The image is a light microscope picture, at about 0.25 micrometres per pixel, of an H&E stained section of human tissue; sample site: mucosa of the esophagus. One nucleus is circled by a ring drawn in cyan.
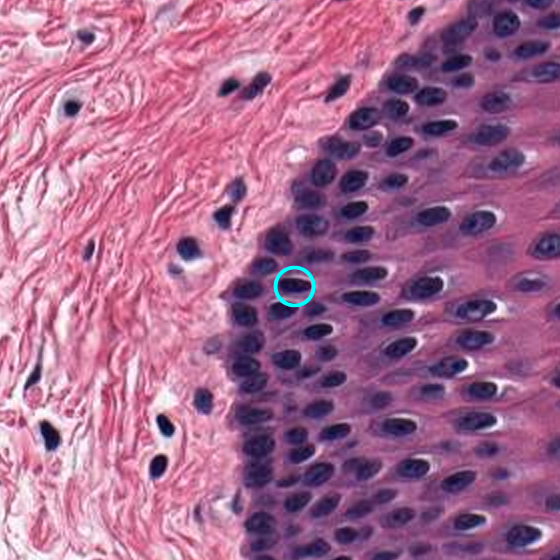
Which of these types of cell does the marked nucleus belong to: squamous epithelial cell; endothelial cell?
squamous epithelial cell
